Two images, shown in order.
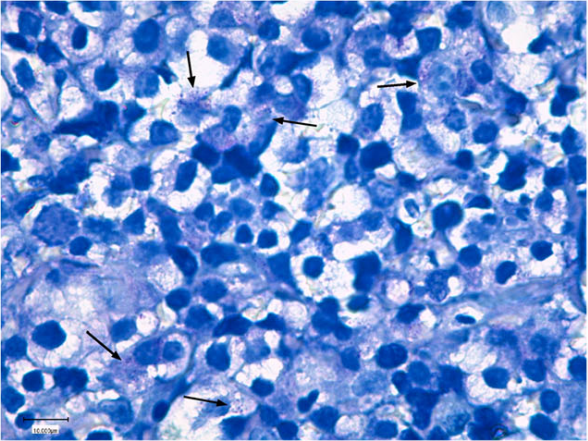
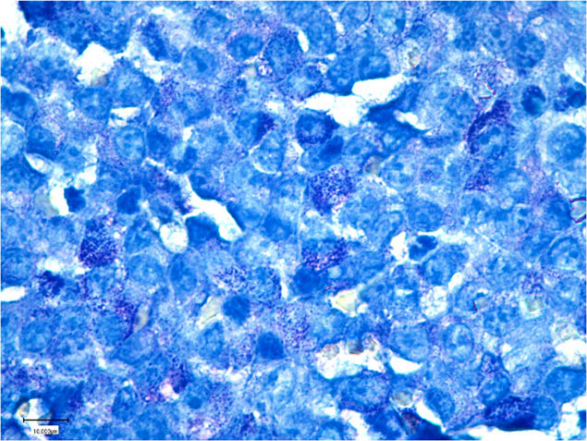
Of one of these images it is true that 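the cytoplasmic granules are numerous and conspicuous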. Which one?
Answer: The second image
